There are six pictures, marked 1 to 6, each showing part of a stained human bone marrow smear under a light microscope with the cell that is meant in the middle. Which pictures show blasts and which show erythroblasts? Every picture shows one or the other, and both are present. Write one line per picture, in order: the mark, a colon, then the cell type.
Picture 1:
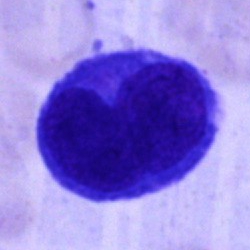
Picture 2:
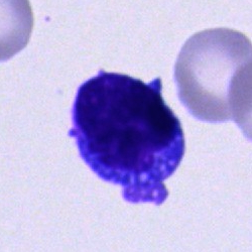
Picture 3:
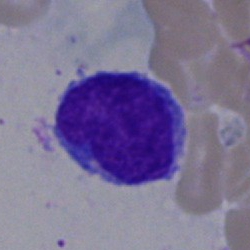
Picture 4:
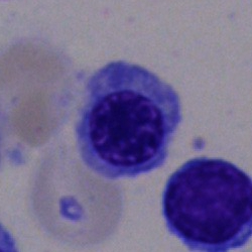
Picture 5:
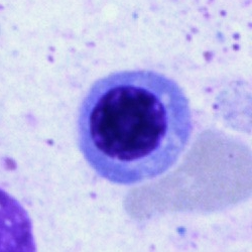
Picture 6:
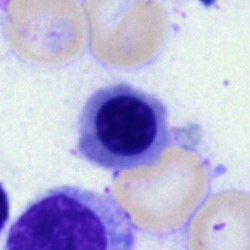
1: blast
2: blast
3: blast
4: erythroblast
5: erythroblast
6: erythroblast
